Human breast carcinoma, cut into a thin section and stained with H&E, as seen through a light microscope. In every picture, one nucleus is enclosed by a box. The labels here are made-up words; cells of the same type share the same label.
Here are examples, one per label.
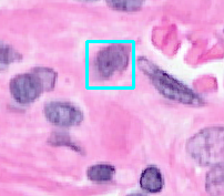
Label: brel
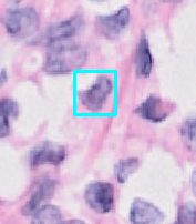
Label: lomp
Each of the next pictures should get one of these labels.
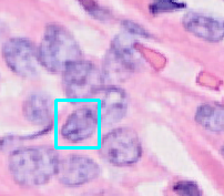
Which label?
lomp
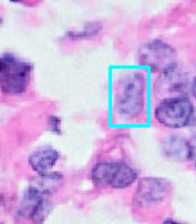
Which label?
lomp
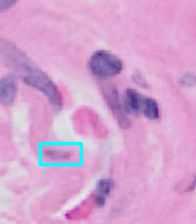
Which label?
brel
